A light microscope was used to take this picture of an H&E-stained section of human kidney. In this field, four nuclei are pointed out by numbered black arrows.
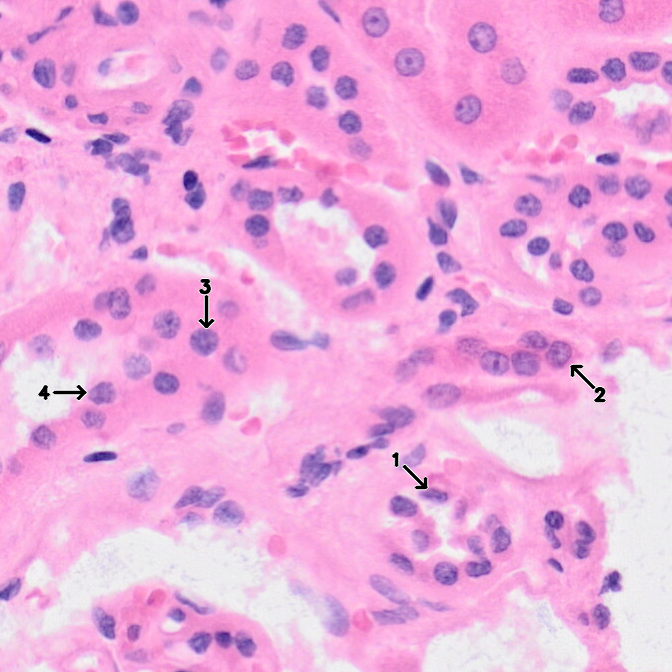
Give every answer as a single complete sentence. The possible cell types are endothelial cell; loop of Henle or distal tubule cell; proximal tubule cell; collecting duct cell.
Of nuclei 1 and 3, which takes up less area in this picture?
The smaller nucleus is 1, and 3 covers roughly 1.5 times its area.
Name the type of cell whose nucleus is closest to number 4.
The nucleus nearest to number 4 is that of a loop of Henle or distal tubule cell.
